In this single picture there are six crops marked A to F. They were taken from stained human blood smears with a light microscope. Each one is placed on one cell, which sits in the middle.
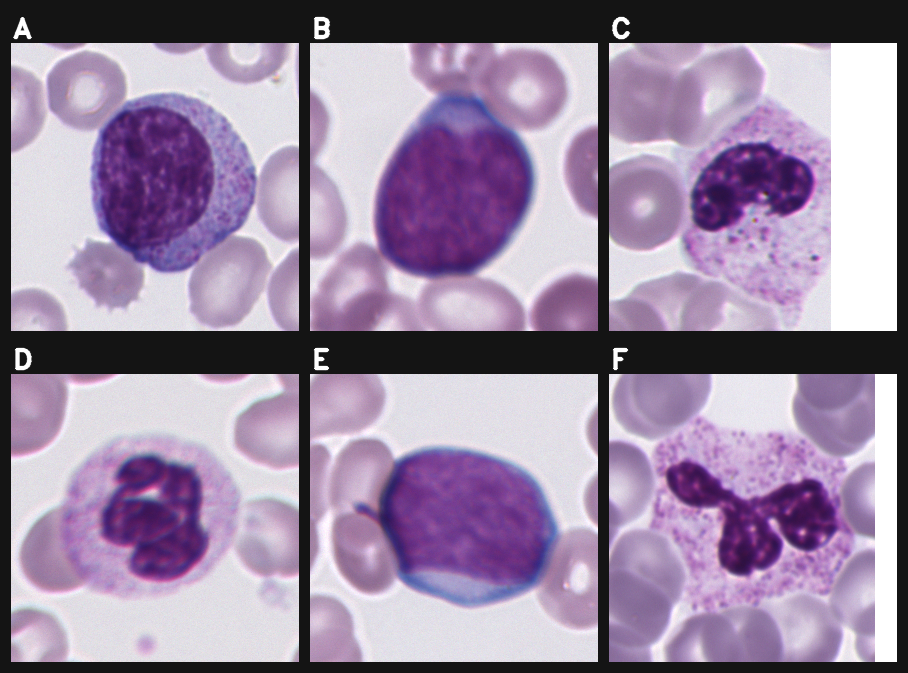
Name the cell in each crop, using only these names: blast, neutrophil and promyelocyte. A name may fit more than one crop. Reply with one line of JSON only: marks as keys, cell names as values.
{"A": "promyelocyte", "B": "blast", "C": "neutrophil", "D": "neutrophil", "E": "blast", "F": "neutrophil"}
